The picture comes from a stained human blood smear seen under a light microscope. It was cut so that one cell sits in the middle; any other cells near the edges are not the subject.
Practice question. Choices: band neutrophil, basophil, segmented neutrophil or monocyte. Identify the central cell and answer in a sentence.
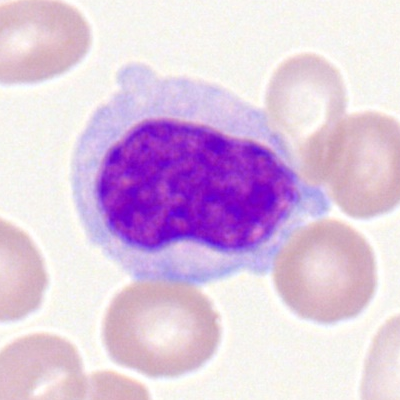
The centrally placed cell is classified as a monocyte.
